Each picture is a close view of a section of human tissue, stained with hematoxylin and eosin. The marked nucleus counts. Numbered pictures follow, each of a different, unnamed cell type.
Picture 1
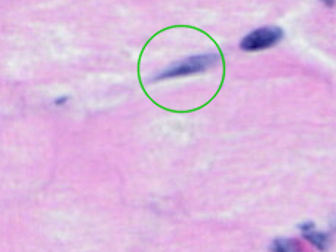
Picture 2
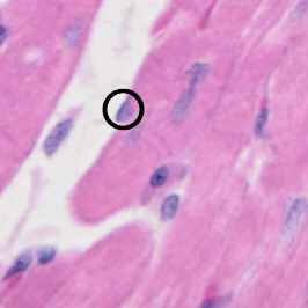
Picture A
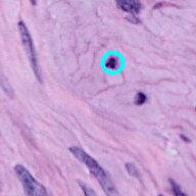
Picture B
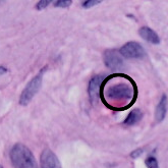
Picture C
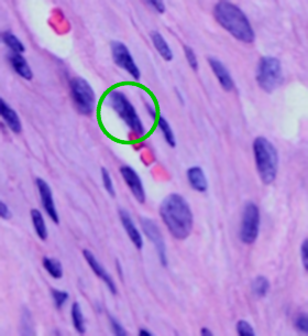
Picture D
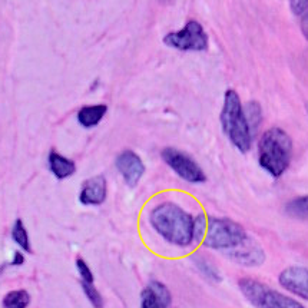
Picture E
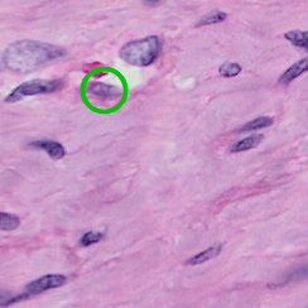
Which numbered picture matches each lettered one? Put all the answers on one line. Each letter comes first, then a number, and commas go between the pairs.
A 2, B 1, C 1, D 1, E 1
